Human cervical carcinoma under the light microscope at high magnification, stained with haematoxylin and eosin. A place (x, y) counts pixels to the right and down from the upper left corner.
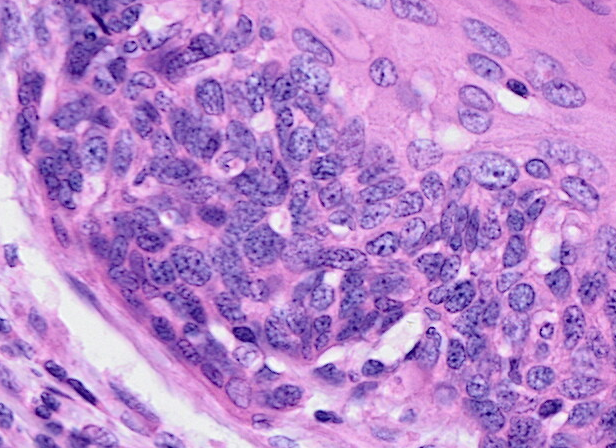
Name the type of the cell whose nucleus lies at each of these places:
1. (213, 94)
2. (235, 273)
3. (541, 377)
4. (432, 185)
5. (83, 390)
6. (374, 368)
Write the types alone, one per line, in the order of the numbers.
squamous carcinoma cell
squamous carcinoma cell
squamous carcinoma cell
squamous carcinoma cell
lymphocyte
lymphocyte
